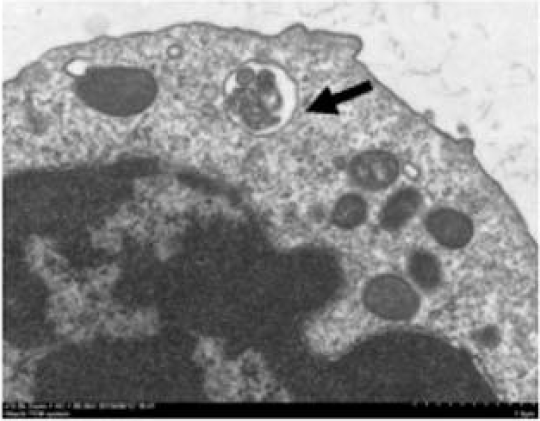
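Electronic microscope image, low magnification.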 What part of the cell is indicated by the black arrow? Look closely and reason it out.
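A round membrane-bound vacuole lies in the cytoplasm near the cell surface. The vacuole contains dense membranous material.
Autophagic vacuole.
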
